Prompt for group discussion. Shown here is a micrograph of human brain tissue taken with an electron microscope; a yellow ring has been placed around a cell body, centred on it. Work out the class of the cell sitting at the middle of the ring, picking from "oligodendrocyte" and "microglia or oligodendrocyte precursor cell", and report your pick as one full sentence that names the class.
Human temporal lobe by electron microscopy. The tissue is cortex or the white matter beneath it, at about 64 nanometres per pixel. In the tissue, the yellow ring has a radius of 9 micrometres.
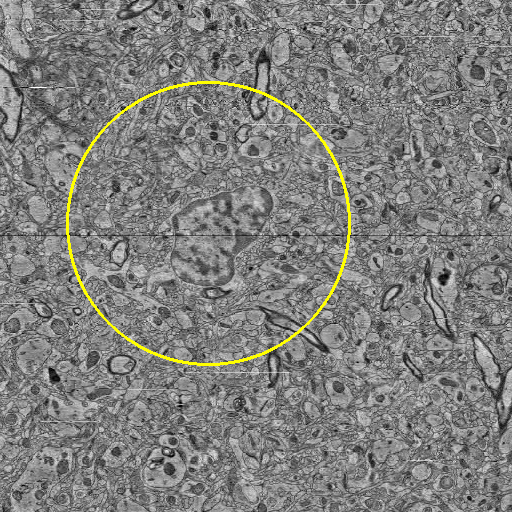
The cell sitting at the middle of the yellow ring is a microglial cell or oligodendrocyte precursor cell.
